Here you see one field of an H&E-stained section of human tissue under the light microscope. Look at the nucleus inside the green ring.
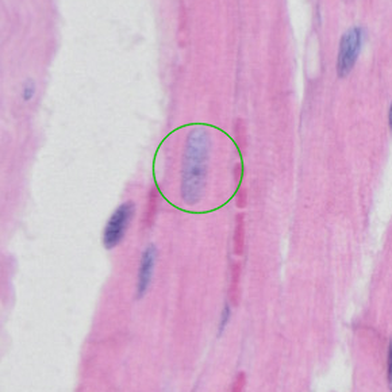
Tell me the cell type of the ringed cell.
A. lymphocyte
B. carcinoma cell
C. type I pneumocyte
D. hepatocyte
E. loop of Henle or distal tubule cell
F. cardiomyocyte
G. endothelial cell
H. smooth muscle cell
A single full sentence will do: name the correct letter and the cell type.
It is option F that is correct, the ringed cell being a cardiomyocyte.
